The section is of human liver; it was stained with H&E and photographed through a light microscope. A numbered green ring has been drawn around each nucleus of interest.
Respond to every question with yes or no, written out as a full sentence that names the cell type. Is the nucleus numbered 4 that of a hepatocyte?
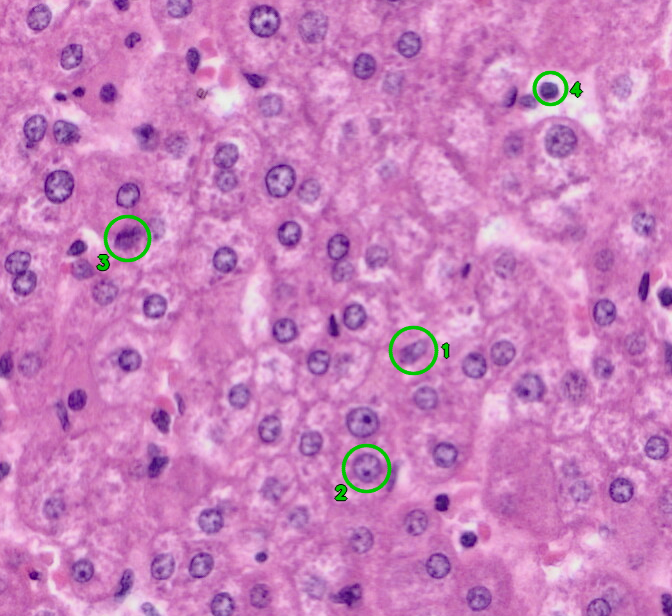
No, the cell bearing the number 4 is a lymphocyte, not a hepatocyte.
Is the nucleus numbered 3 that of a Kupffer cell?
No, the cell labelled 3 is a fibroblast or stellate cell and not a Kupffer cell.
